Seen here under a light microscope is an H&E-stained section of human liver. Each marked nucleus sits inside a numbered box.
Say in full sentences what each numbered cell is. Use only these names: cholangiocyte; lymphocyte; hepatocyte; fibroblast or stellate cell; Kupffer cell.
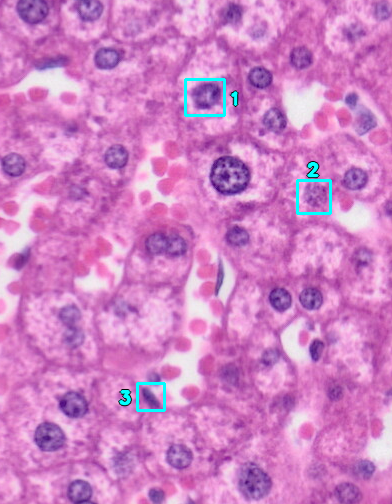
Cell 1 is a hepatocyte, cell 2 is a hepatocyte and cell 3 is a fibroblast or stellate cell.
